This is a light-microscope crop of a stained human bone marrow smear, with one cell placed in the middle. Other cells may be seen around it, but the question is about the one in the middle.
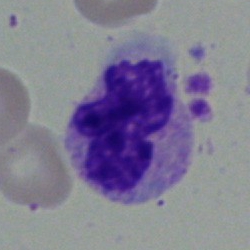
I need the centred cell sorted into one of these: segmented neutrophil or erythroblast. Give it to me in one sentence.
The single cell at the center of the crop is a segmented neutrophil.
